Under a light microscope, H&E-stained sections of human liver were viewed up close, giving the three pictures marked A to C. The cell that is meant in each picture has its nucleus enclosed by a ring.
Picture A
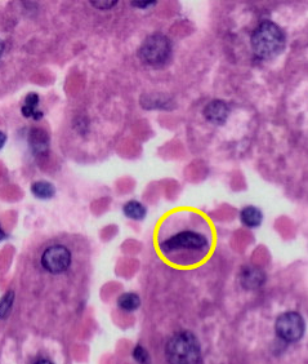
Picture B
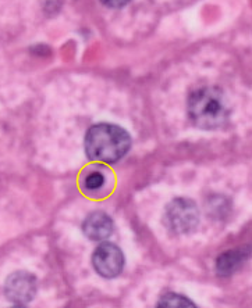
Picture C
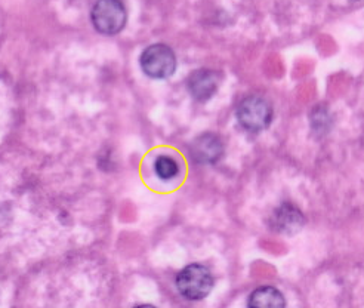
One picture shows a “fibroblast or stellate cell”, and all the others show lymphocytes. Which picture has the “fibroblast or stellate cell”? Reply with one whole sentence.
The picture with the “fibroblast or stellate cell” is A.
